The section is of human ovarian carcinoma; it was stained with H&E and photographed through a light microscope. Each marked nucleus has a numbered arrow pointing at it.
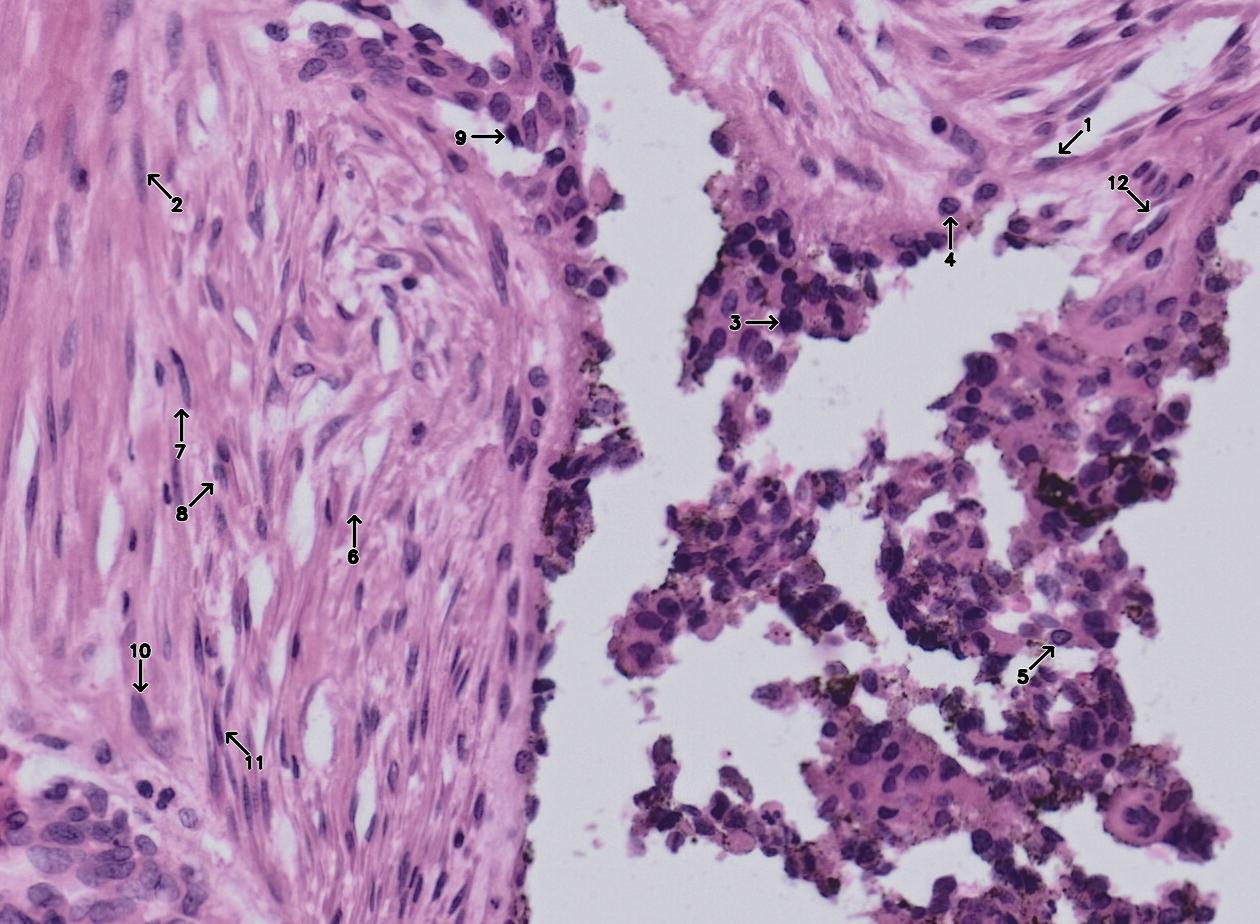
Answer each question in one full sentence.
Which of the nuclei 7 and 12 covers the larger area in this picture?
Number 7 is larger; its area is about 1.5 times that of number 12.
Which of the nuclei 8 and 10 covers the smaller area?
Nucleus 8 covers less area, with nucleus 10 about 2.5 times as large.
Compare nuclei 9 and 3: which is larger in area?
It is nucleus 3, which covers about 1.5 times the area of nucleus 9.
